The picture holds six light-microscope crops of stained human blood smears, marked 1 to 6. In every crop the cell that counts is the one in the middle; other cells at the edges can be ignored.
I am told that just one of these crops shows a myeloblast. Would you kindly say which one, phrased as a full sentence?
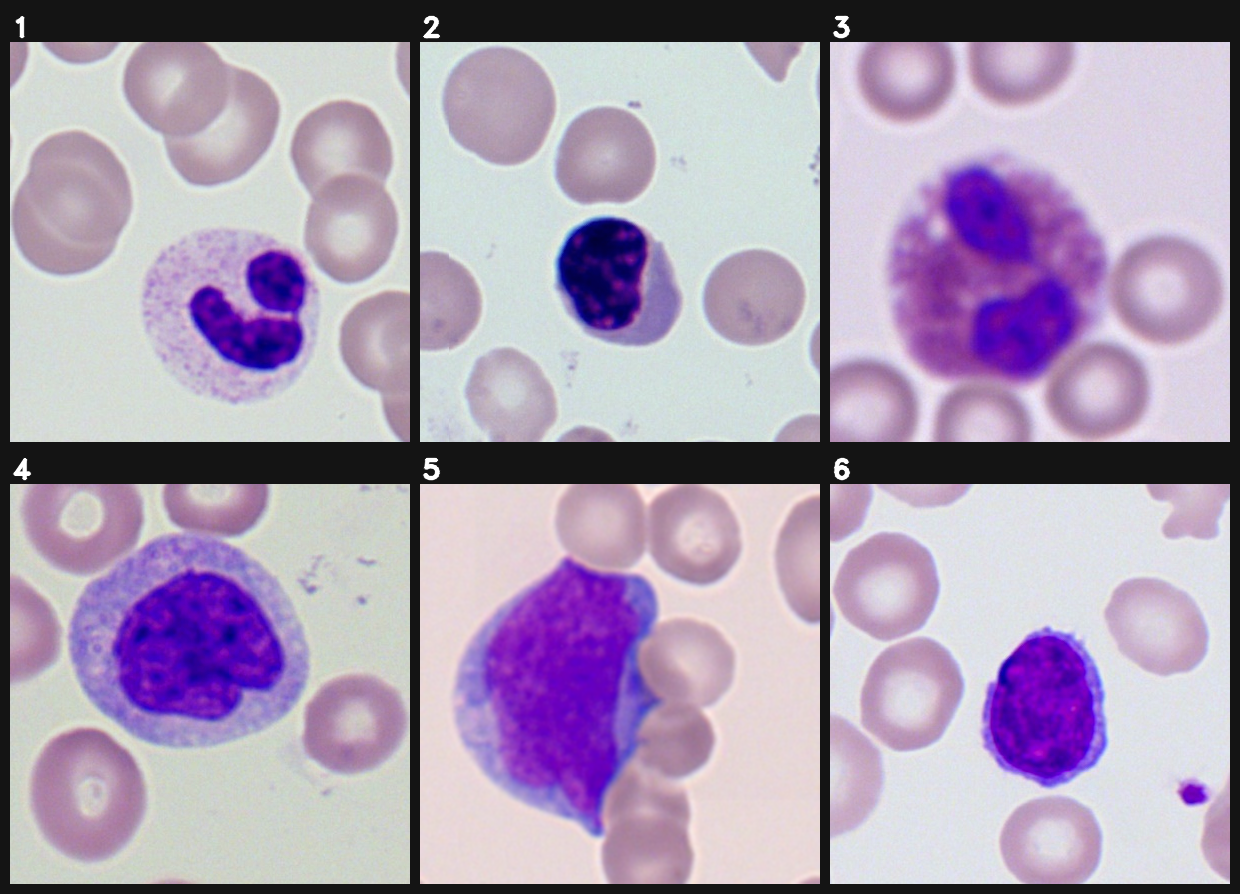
Among the crops given, only crop 5 shows a myeloblast.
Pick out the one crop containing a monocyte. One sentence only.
Crop 4 represents a monocyte, while the other crops do not.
